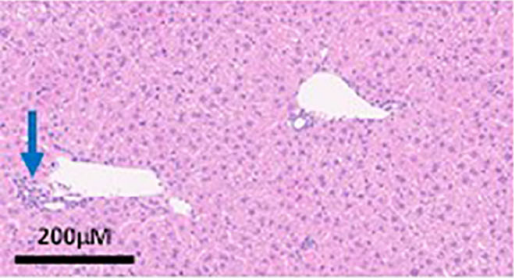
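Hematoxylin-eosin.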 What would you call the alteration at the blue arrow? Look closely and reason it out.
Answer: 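Leukocyte infiltration. A small cluster of dark nuclei sits at the edge of a vessel. The rest of the parenchyma shows regular hepatocytes.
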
